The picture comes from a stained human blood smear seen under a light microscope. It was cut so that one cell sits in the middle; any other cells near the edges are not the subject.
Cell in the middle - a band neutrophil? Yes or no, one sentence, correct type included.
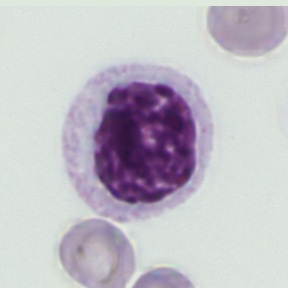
No, the centre of the crop contains a metamyelocyte rather than a band neutrophil.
